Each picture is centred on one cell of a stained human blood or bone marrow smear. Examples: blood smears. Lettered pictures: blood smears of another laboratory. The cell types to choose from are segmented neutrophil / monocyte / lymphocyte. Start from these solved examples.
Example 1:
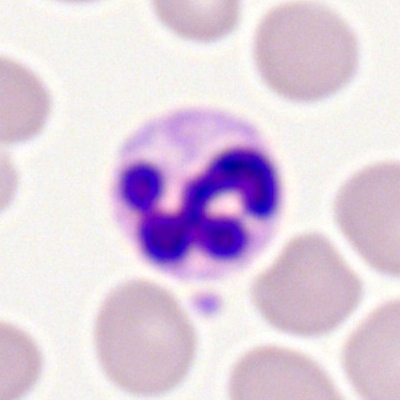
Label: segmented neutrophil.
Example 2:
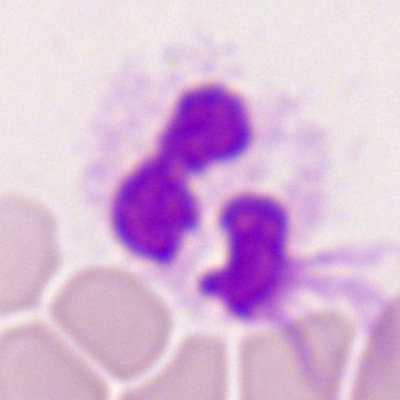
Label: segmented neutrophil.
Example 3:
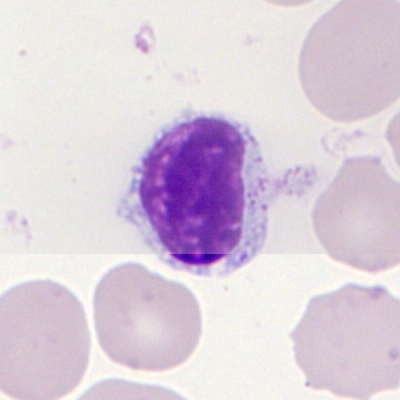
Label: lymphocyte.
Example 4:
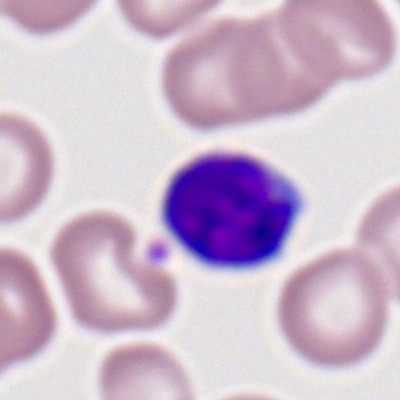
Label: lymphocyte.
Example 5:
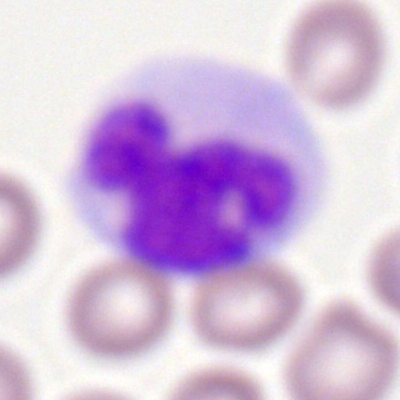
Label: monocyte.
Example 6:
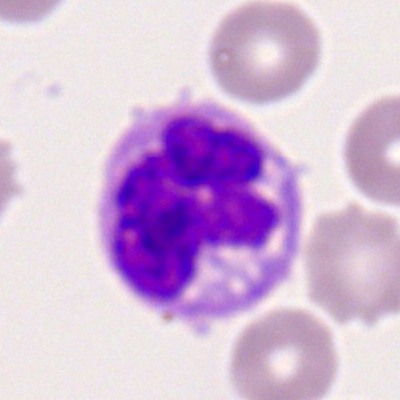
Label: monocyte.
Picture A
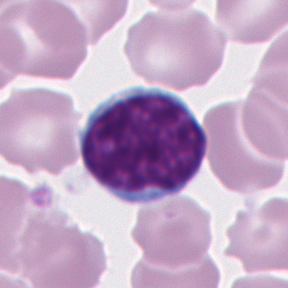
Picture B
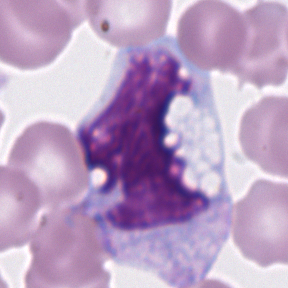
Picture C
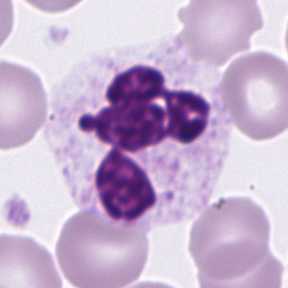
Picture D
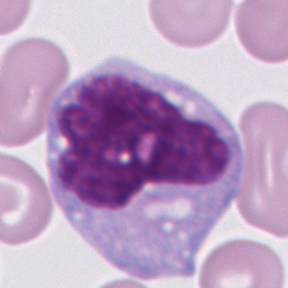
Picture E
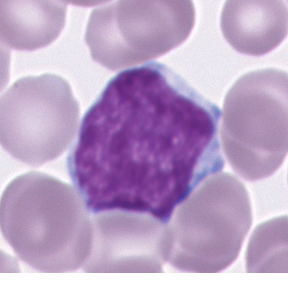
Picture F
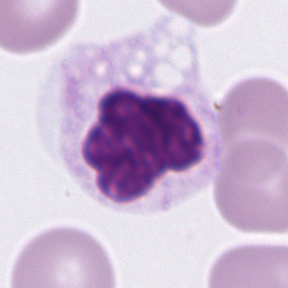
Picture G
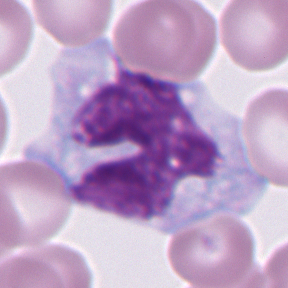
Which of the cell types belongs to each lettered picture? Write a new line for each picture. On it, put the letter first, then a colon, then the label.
A: lymphocyte.
B: monocyte.
C: segmented neutrophil.
D: monocyte.
E: lymphocyte.
F: segmented neutrophil.
G: monocyte.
